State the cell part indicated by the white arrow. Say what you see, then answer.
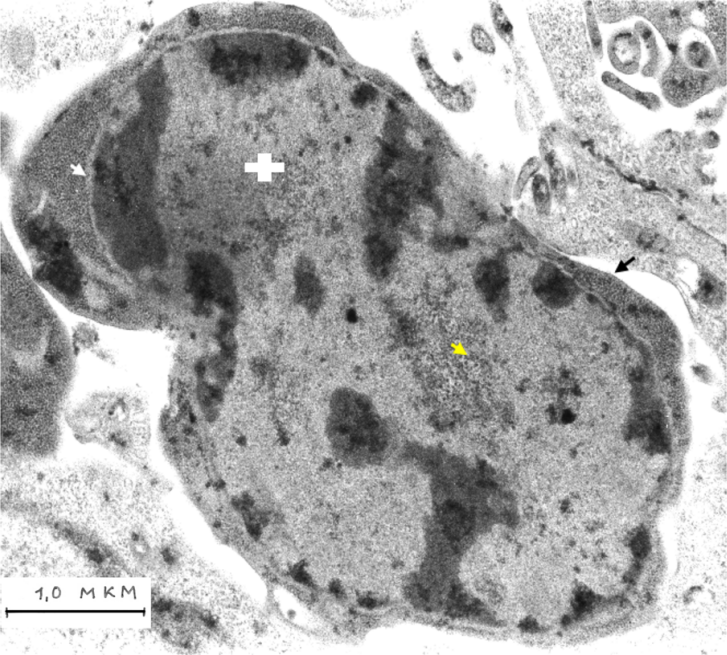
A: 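Nuclear envelop. The arrow points at a thin line bordering the large rounded body. A narrow rim of cytoplasm lies outside this line.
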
